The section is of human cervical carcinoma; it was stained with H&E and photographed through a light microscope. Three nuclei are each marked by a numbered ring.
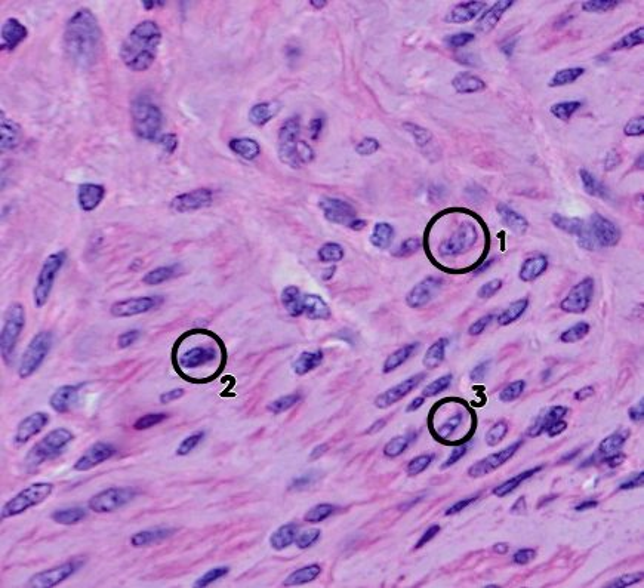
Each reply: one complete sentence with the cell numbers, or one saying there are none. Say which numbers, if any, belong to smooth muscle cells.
Cells that were given the numbers 1 and 3 are smooth muscle cells.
